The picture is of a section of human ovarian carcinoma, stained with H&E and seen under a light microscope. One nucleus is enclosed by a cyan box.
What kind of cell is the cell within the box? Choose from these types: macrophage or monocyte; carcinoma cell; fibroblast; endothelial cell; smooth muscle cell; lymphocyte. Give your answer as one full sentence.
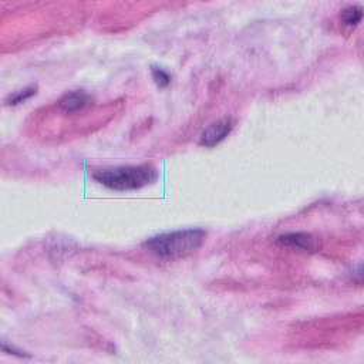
This is an endothelial cell.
